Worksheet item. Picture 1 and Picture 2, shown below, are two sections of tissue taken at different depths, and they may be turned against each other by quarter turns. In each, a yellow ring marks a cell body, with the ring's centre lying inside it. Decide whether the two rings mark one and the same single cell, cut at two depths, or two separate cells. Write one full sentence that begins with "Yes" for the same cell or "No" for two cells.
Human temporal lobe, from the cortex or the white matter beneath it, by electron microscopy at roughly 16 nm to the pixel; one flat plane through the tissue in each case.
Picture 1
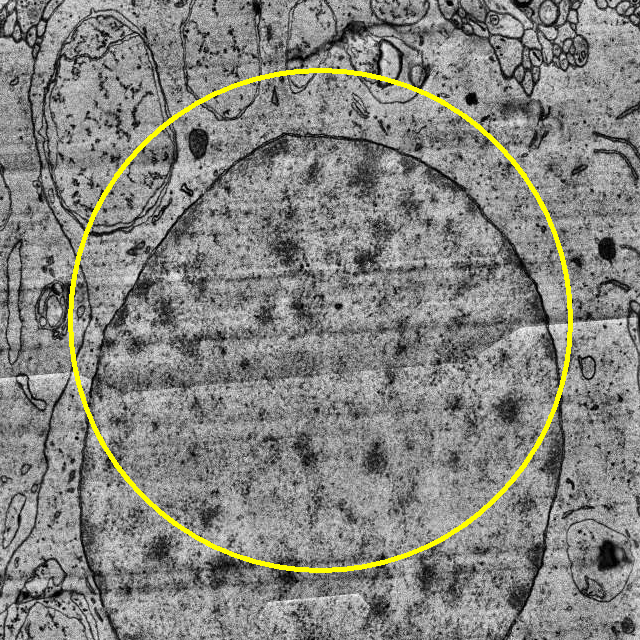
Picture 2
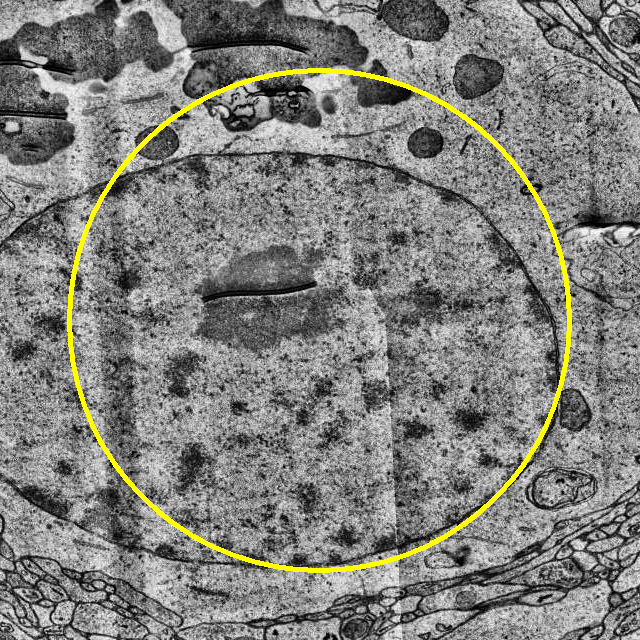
No, two separate cells are outlined by these yellow rings.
